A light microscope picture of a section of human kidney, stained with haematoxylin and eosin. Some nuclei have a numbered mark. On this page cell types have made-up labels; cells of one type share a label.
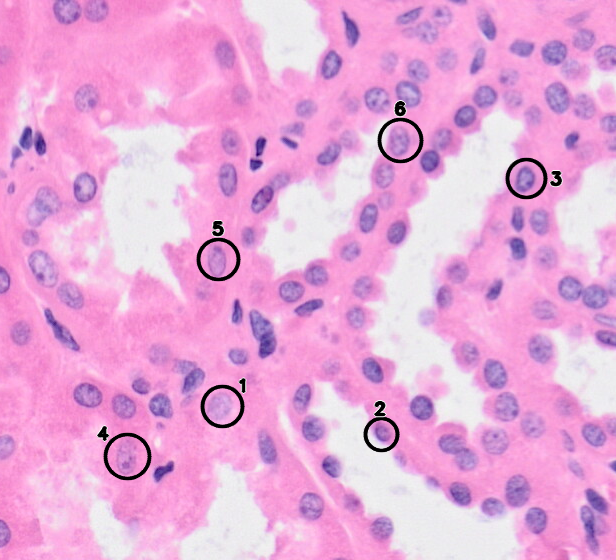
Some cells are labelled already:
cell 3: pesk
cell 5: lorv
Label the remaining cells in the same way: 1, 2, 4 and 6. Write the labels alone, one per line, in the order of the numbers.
lorv
pesk
lorv
pesk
